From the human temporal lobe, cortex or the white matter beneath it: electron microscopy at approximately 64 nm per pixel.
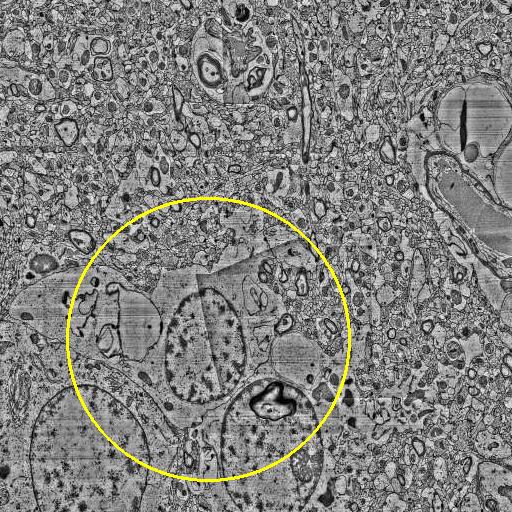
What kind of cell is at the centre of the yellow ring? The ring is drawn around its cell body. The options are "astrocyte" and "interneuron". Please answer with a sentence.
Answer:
The yellow ring marks the cell body of an astrocyte.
